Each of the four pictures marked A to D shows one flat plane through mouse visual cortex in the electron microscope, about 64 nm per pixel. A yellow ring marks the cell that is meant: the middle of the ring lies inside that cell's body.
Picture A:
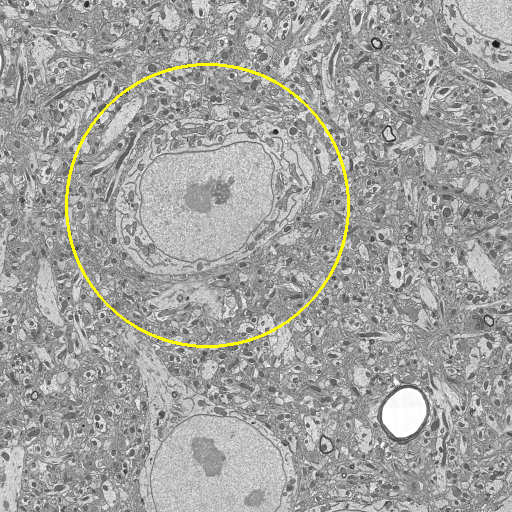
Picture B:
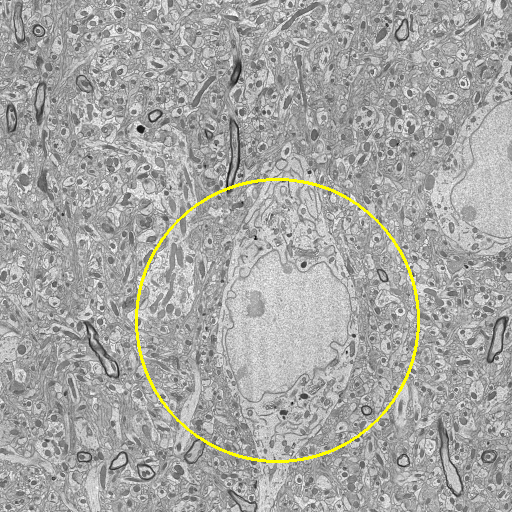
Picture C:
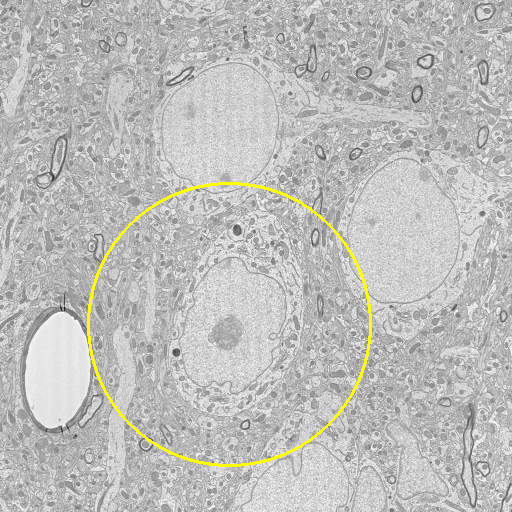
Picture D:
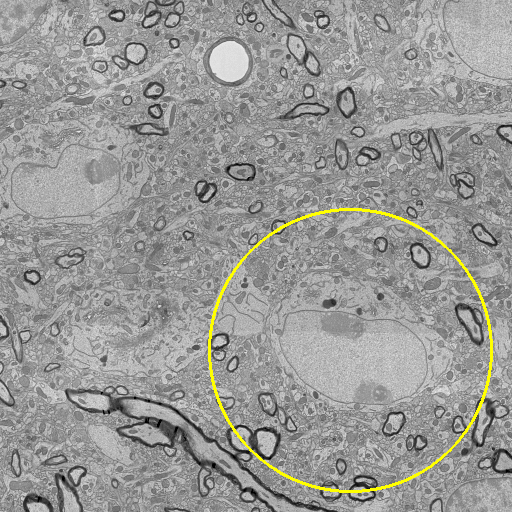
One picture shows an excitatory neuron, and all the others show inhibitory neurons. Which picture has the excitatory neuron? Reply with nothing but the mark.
D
